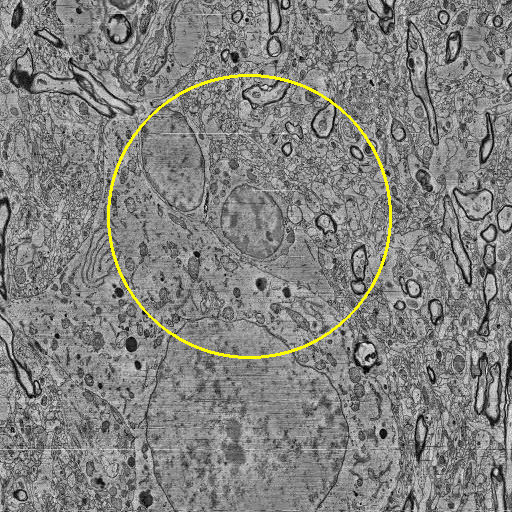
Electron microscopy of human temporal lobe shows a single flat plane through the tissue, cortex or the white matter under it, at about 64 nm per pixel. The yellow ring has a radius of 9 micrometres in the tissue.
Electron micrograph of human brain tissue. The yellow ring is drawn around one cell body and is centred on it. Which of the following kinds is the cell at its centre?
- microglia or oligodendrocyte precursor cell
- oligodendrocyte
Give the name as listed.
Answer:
oligodendrocyte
